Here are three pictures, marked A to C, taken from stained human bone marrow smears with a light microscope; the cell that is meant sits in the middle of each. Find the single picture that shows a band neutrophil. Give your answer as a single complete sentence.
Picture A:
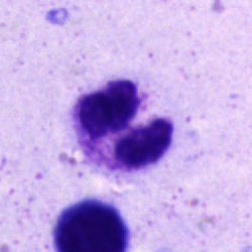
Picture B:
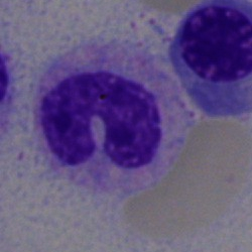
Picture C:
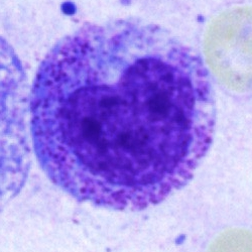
It is picture B that shows the band neutrophil.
